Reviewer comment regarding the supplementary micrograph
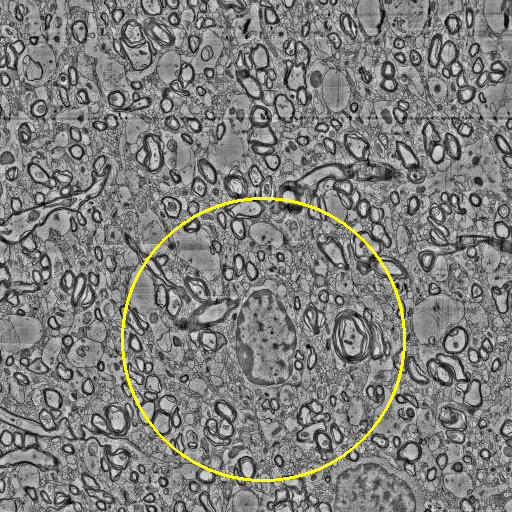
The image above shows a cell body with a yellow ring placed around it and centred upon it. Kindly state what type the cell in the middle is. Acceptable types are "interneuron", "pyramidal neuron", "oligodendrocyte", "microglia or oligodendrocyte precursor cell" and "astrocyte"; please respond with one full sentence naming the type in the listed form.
In the image above, the cell on which the yellow ring is centred is a microglial cell or oligodendrocyte precursor cell.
